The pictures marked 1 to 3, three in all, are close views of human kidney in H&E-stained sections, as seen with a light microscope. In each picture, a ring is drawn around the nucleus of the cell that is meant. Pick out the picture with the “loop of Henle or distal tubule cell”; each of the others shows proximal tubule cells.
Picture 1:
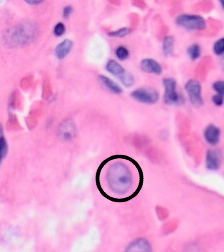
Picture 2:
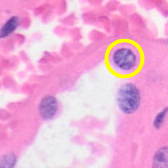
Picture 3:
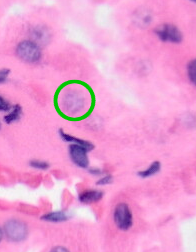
2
